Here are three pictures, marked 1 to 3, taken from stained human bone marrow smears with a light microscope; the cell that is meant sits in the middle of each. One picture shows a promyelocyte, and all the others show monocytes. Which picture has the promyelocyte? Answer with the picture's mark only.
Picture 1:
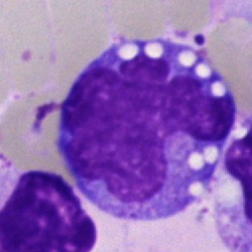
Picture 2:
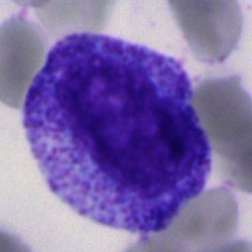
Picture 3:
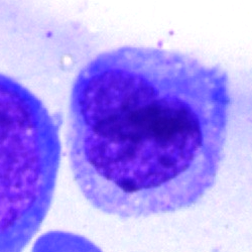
2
